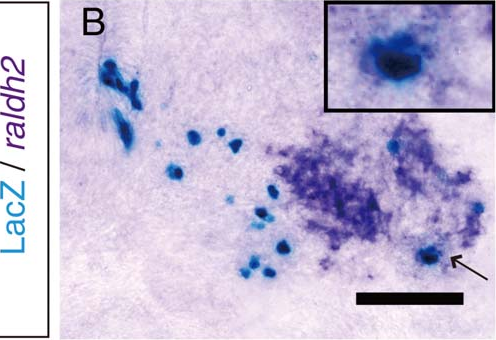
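Section of the ventral neural tube in which motoneurons of a lateral column lie within a large diffuse patch of dark purple signal. Intensely blue labelled cells are scattered from a group near the midline at upper left across the grey matter toward the lateral side. Several labelled cells lie at the edge of or within the purple patch. The arrowed cell at the lower right is a compact dark blue cell embedded in purple signal, shown enlarged in the inset. The surrounding tissue is pale with little staining.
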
